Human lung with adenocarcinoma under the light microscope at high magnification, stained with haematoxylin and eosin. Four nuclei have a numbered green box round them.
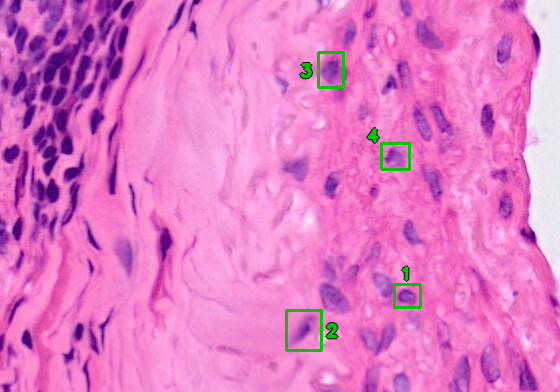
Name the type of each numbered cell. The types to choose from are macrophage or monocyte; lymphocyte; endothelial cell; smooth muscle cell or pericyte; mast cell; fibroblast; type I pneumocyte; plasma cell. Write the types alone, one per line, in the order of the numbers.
smooth muscle cell or pericyte
fibroblast
smooth muscle cell or pericyte
smooth muscle cell or pericyte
